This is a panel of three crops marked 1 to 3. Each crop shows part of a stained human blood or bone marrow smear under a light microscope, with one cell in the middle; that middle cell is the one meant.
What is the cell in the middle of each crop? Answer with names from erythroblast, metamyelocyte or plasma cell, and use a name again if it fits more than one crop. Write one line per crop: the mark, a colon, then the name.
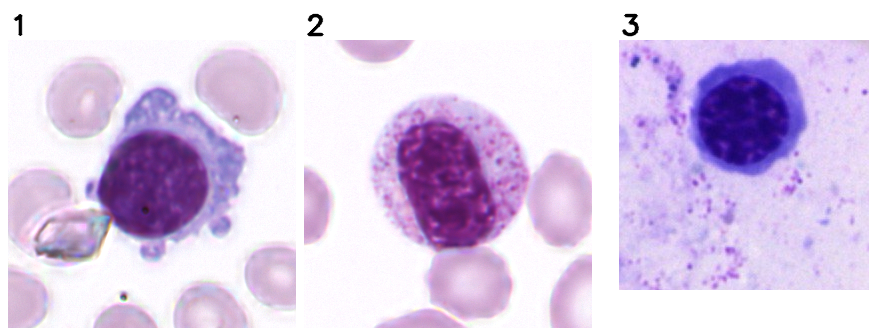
1: plasma cell
2: metamyelocyte
3: erythroblast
